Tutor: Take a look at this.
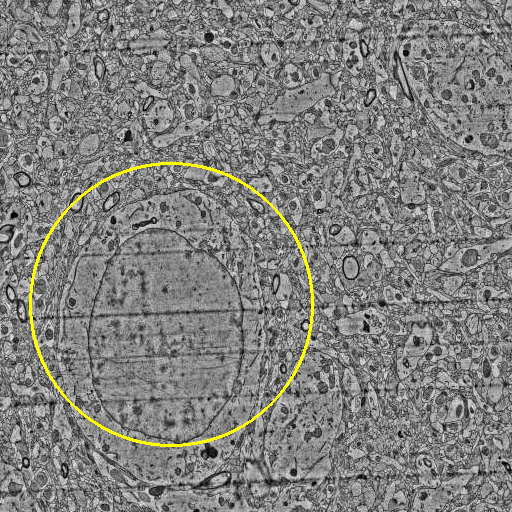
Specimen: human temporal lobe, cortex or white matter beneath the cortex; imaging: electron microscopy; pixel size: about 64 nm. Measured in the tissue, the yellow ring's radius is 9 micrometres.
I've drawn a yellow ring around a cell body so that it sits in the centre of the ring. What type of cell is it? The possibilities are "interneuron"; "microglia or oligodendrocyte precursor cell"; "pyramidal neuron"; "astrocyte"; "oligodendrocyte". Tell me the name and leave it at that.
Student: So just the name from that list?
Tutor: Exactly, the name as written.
pyramidal neuron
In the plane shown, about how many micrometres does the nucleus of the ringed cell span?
Roughly 14 by 10 micrometres is the size of the nucleus in this plane.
